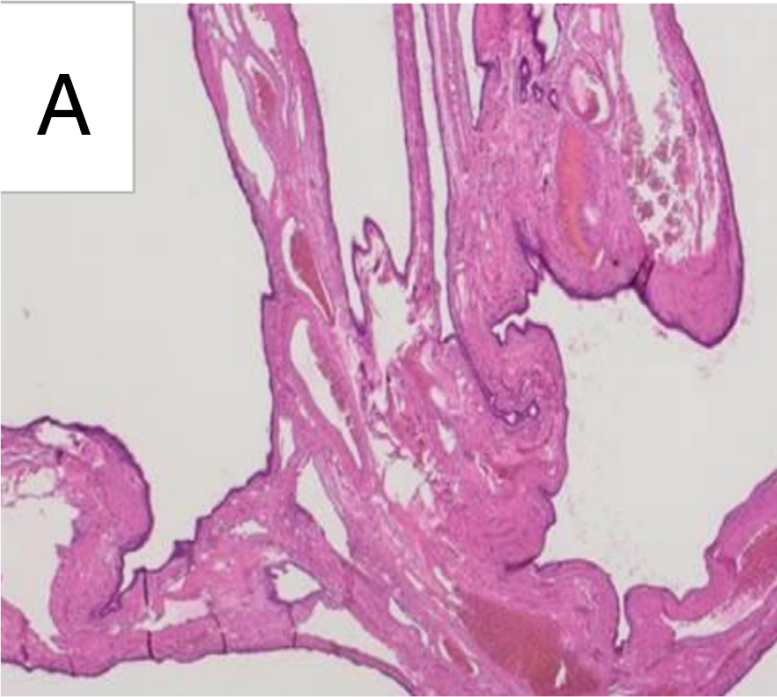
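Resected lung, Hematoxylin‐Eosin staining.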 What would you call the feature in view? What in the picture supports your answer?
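Several large empty spaces are separated by thin pink walls. The walls are folded and branching, bordering the open spaces.
Answer: multiple cysts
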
